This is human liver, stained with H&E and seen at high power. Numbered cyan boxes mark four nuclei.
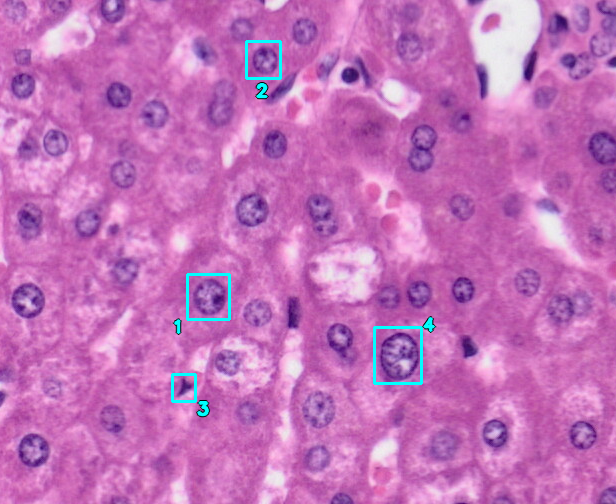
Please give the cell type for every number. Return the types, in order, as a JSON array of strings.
["hepatocyte", "hepatocyte", "endothelial cell", "hepatocyte"]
